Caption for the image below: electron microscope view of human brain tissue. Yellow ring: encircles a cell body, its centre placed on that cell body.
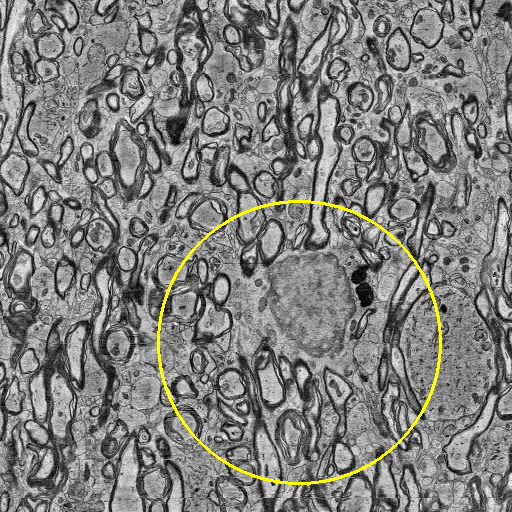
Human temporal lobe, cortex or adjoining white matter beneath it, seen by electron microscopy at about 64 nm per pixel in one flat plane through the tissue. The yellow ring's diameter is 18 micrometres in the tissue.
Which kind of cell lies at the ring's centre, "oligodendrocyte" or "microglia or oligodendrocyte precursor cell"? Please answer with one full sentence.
The picture shows an oligodendrocyte at the centre of the yellow ring.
